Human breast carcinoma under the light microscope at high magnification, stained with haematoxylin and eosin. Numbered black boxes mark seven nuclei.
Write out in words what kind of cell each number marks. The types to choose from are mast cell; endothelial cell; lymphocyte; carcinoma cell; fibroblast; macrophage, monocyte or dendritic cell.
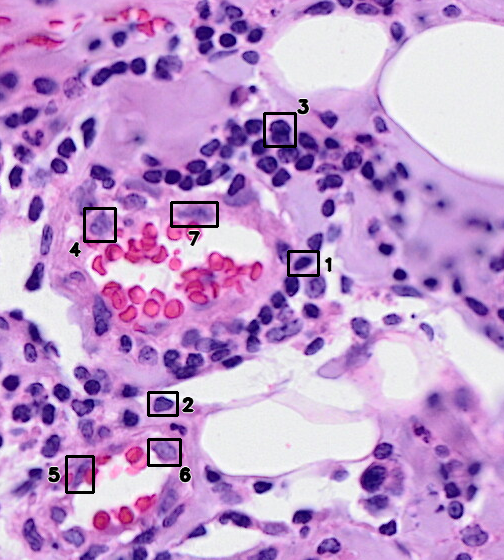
Cells 1, 2 and 3 are lymphocytes. Cells 4, 5, 6 and 7 are endothelial cells.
